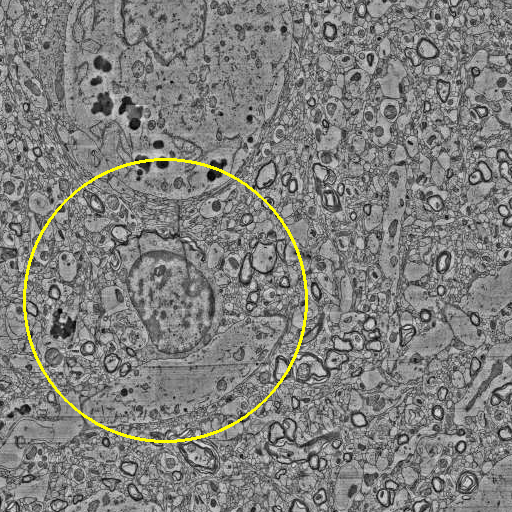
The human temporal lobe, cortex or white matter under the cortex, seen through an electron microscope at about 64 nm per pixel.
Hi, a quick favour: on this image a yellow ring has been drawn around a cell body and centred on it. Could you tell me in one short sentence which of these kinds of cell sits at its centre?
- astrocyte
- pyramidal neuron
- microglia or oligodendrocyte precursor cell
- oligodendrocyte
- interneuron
The ring is centred on an oligodendrocyte.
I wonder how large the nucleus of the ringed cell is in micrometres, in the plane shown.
Approximately 7 x 5 micrometres in this plane.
